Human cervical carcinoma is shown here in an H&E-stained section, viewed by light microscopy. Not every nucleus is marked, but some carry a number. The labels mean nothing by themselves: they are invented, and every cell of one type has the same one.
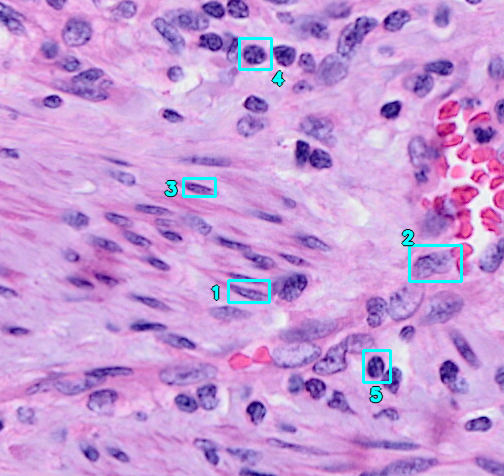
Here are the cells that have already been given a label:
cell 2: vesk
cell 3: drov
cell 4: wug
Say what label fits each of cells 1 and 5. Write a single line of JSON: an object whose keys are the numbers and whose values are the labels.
{"1": "drov", "5": "wug"}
